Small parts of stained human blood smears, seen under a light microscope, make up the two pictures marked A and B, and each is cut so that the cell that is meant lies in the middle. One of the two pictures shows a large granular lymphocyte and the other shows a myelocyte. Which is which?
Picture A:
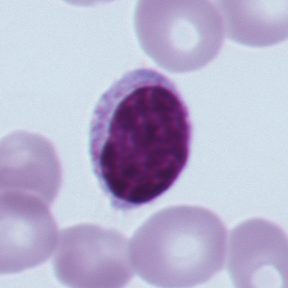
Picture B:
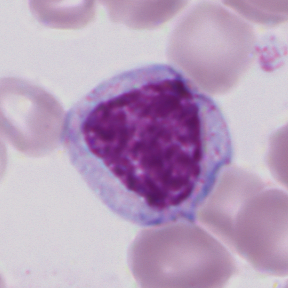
A: large granular lymphocyte
B: myelocyte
